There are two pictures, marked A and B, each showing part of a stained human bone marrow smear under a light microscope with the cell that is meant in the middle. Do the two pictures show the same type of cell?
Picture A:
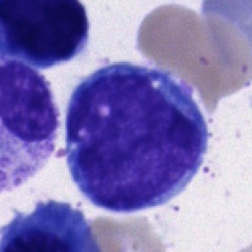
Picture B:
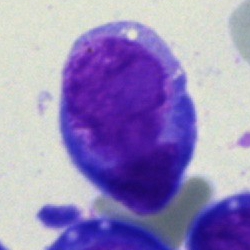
yes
